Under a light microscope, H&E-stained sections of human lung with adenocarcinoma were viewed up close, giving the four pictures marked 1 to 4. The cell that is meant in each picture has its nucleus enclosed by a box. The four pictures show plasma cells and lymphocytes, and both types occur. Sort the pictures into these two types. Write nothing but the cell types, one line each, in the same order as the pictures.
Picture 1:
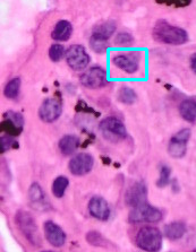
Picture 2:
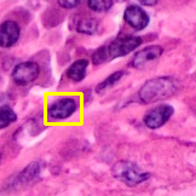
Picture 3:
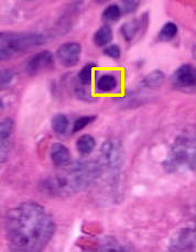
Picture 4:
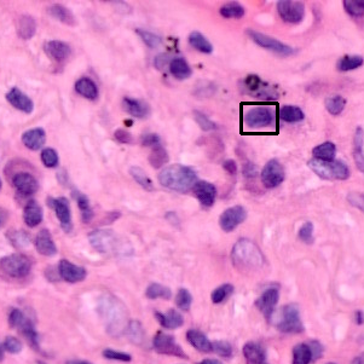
lymphocyte
plasma cell
lymphocyte
lymphocyte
